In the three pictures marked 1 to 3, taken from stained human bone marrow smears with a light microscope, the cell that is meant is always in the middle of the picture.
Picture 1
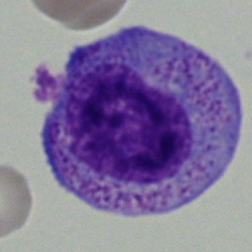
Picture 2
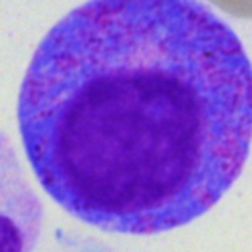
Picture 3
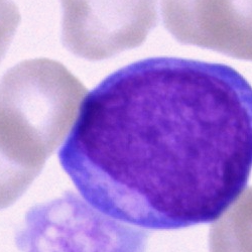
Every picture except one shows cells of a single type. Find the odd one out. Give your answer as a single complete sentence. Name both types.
The others show promyelocytes, but picture 3 shows a blast.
